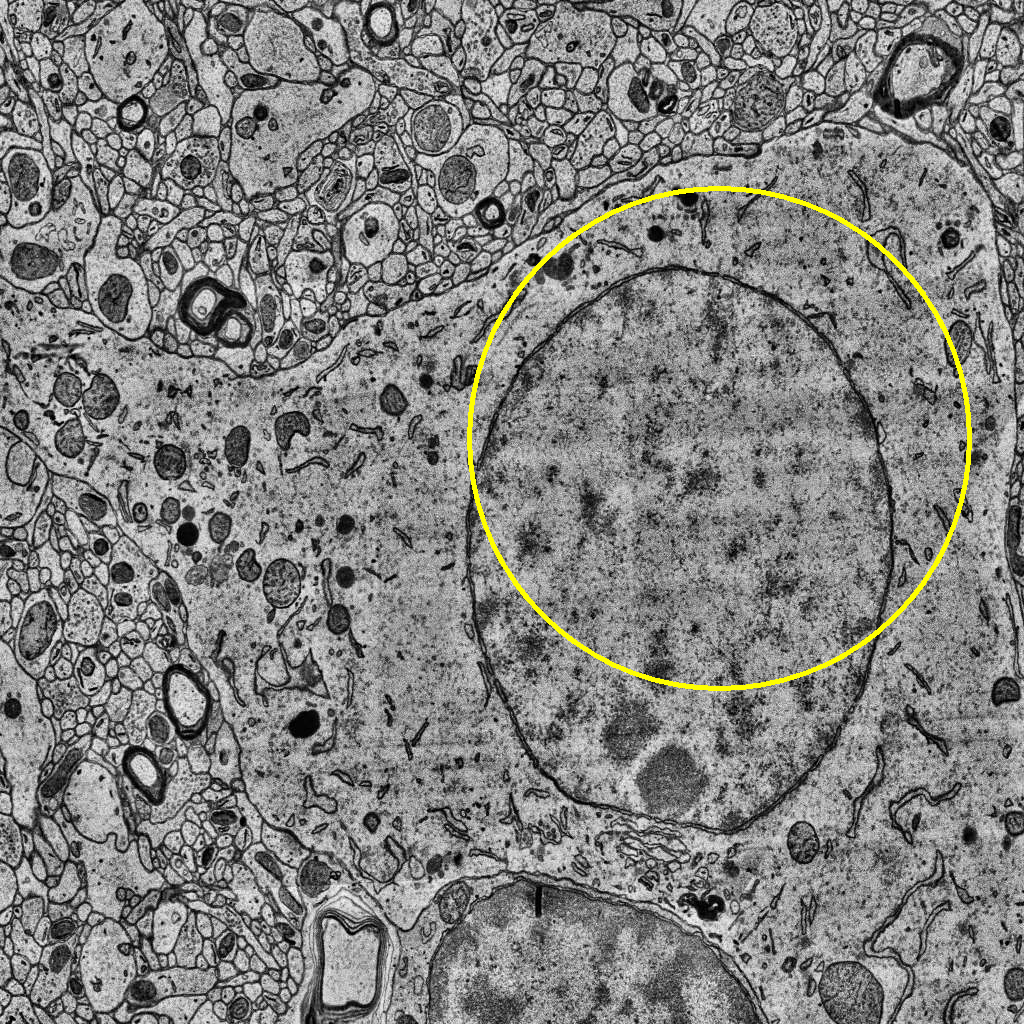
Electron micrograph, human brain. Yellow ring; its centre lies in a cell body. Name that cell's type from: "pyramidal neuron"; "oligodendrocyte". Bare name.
pyramidal neuron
